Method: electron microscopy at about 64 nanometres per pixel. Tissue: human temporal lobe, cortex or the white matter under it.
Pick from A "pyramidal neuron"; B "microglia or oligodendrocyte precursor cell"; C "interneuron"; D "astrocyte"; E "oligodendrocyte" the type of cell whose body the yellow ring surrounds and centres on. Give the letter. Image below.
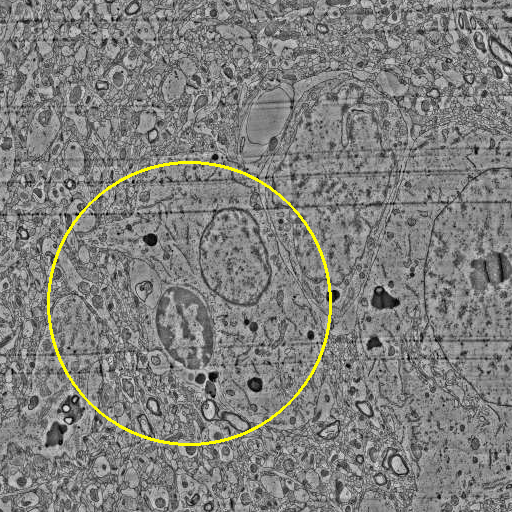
B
